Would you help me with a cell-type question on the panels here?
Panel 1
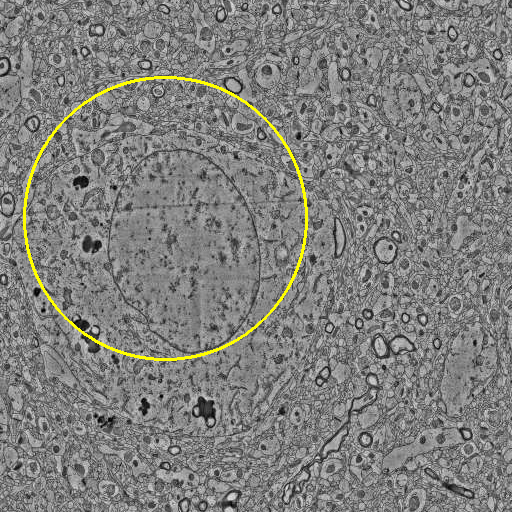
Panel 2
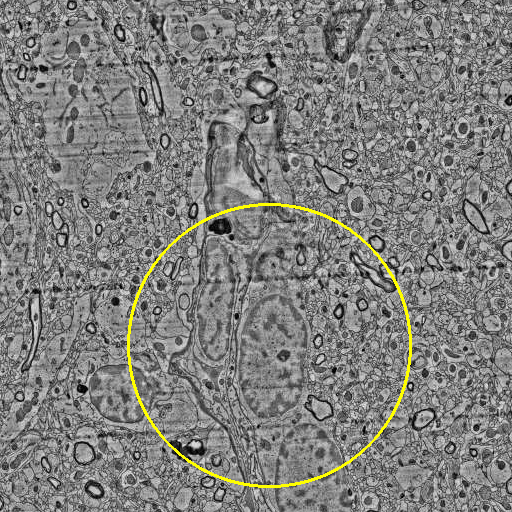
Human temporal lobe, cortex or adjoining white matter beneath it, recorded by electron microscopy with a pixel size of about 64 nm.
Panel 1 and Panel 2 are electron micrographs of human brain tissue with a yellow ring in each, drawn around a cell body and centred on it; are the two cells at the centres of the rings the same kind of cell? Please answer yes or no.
no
